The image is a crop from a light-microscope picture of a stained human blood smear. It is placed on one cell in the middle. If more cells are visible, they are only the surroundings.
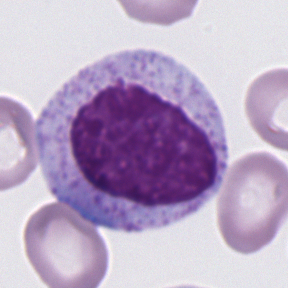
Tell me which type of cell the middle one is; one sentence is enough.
Answering briefly, the cell in the middle is a myelocyte.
